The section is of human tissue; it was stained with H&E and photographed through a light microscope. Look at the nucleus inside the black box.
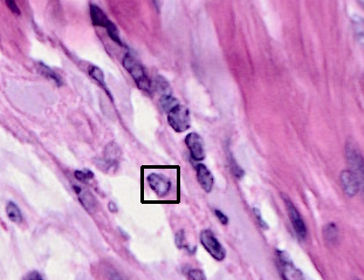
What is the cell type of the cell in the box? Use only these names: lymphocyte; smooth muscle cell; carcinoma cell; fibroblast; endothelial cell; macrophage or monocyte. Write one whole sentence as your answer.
The classification of the cell in the box is as a macrophage or monocyte.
